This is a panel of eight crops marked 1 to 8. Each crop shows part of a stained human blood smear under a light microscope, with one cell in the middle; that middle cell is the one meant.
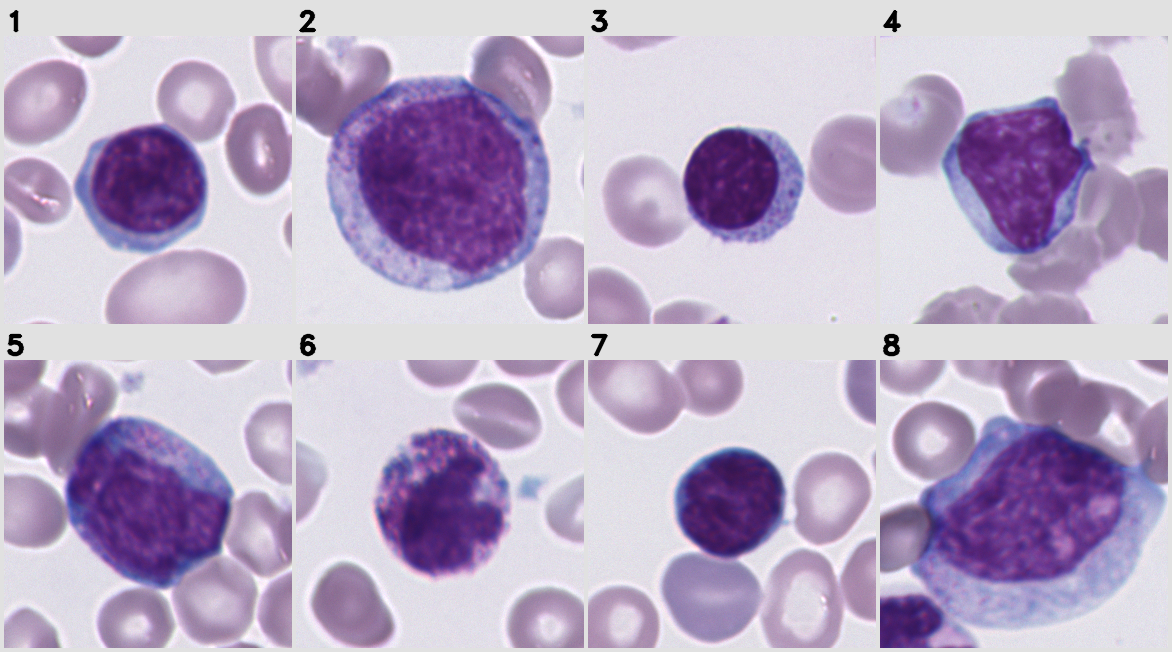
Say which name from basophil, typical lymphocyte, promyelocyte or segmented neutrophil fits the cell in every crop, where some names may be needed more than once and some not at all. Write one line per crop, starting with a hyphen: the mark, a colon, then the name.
- 1: typical lymphocyte
- 2: promyelocyte
- 3: typical lymphocyte
- 4: typical lymphocyte
- 5: promyelocyte
- 6: basophil
- 7: typical lymphocyte
- 8: promyelocyte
